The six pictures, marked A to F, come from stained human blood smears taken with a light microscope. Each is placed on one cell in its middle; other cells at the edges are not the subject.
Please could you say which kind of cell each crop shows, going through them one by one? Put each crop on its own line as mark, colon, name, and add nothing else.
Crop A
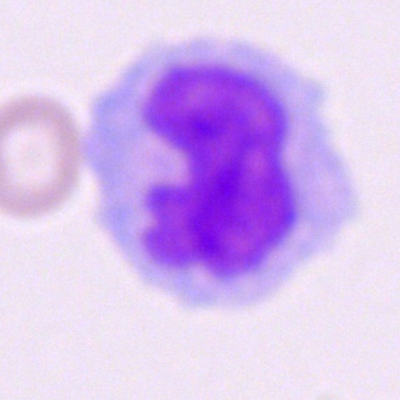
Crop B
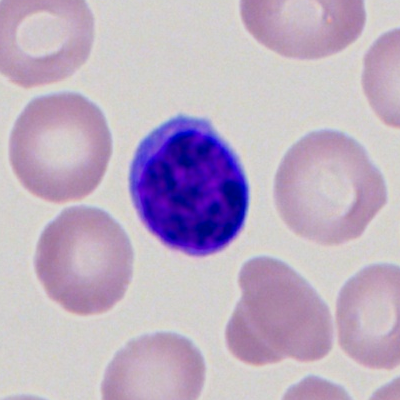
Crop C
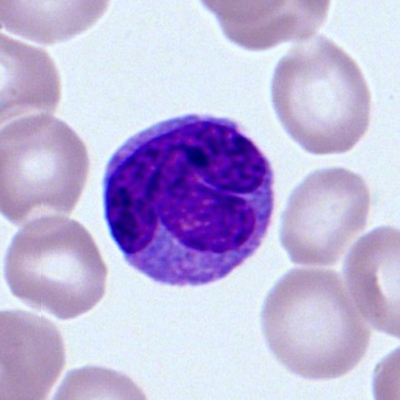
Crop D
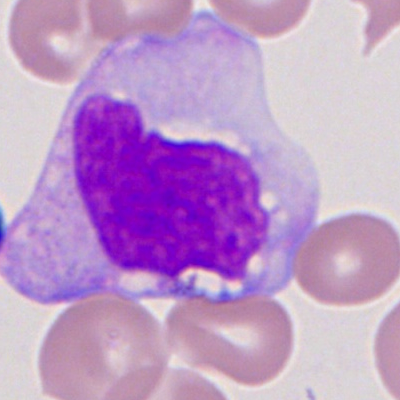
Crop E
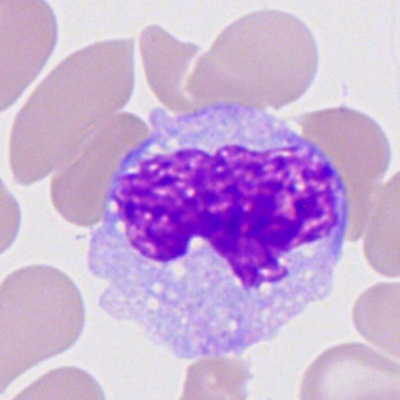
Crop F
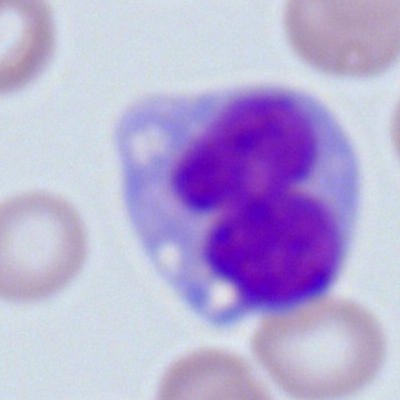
A: monocyte
B: lymphocyte
C: monocyte
D: monocyte
E: monocyte
F: monocyte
